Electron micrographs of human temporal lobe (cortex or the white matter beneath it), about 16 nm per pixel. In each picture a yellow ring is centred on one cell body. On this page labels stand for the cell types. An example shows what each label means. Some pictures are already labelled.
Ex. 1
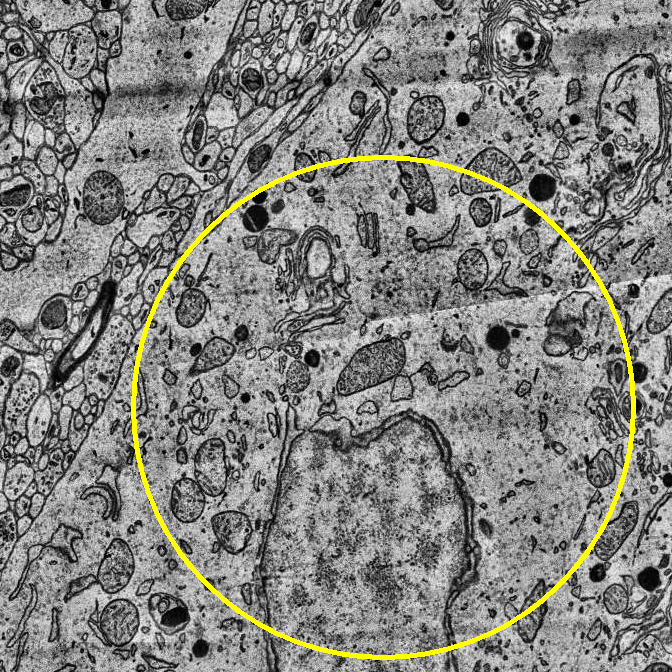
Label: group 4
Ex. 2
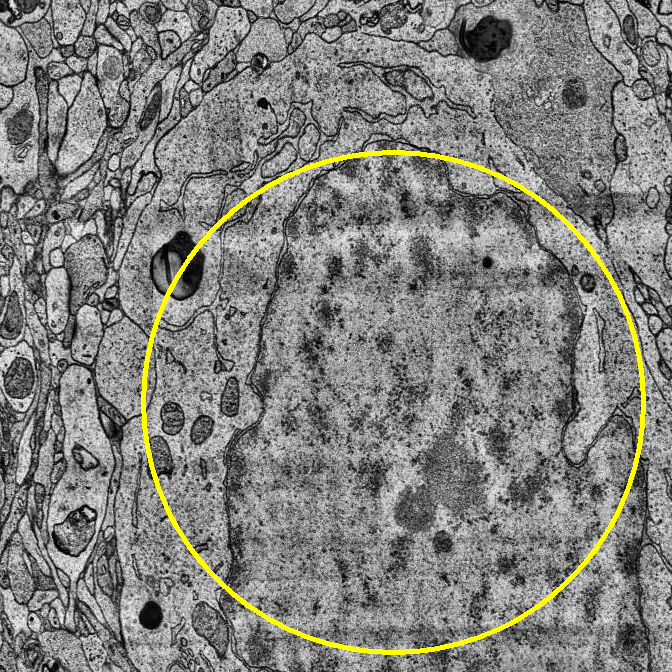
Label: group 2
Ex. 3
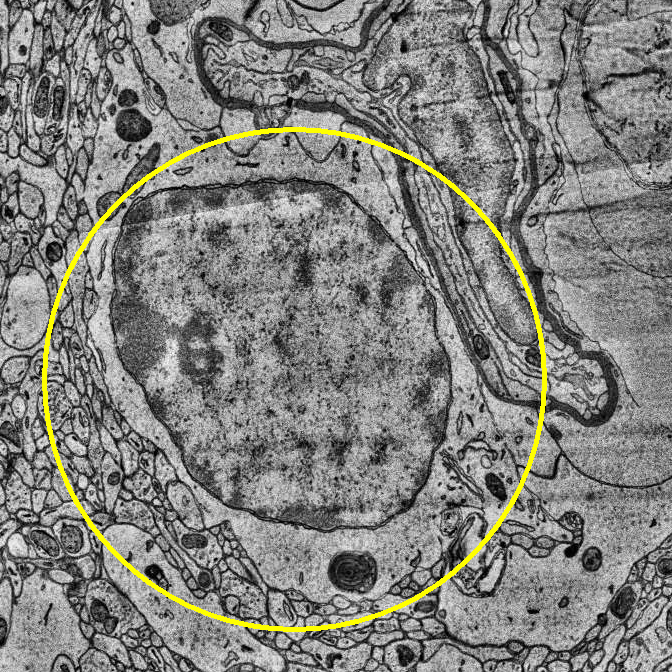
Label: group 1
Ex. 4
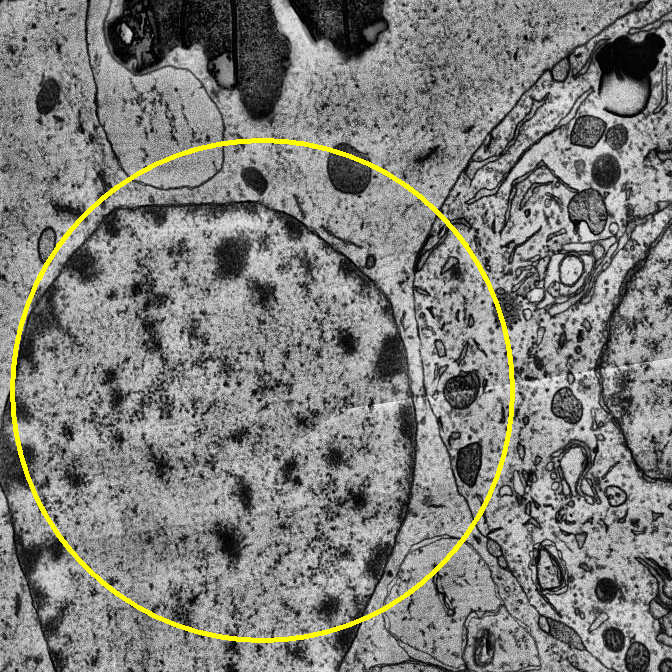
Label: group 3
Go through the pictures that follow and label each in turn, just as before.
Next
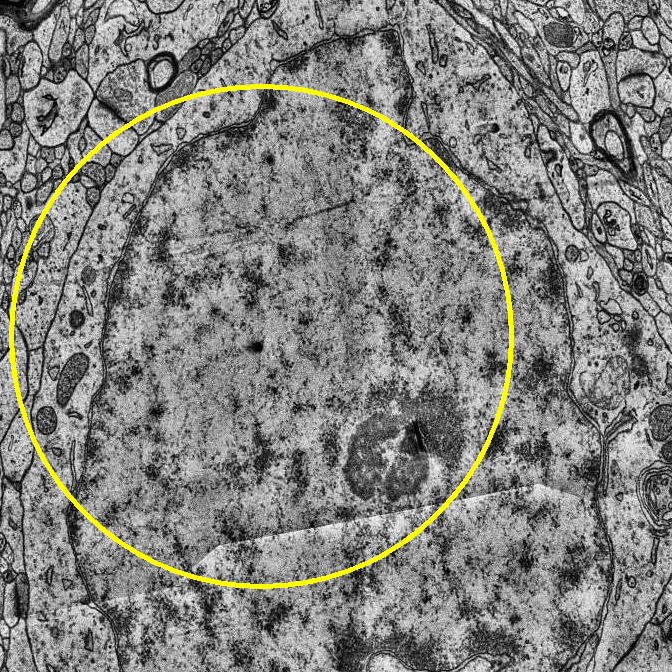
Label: group 2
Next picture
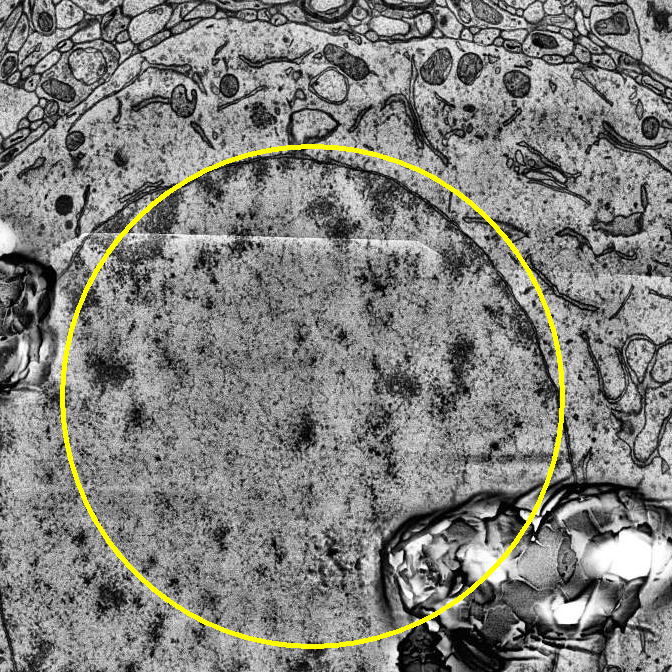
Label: group 4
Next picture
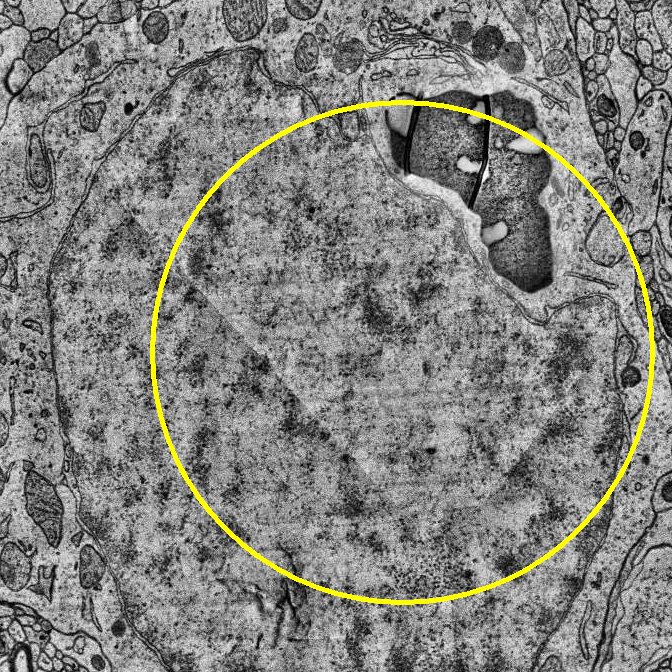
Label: group 2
